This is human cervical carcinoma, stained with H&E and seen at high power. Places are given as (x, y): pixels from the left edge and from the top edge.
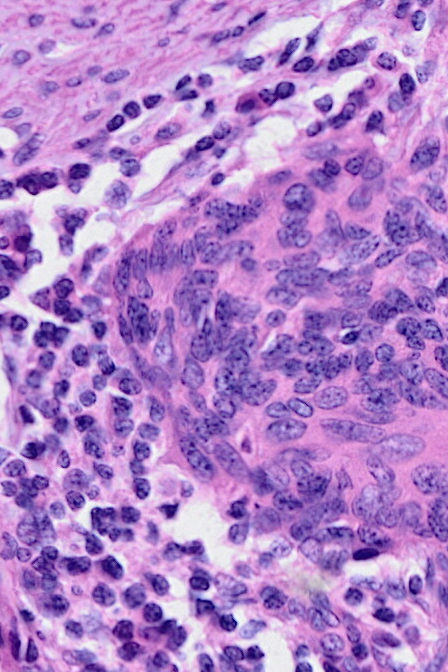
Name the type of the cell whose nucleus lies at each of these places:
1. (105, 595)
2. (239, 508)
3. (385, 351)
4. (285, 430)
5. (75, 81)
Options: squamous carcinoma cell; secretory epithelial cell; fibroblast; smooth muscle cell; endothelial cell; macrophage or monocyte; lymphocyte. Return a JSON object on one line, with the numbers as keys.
{"1": "lymphocyte", "2": "lymphocyte", "3": "squamous carcinoma cell", "4": "squamous carcinoma cell", "5": "smooth muscle cell"}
